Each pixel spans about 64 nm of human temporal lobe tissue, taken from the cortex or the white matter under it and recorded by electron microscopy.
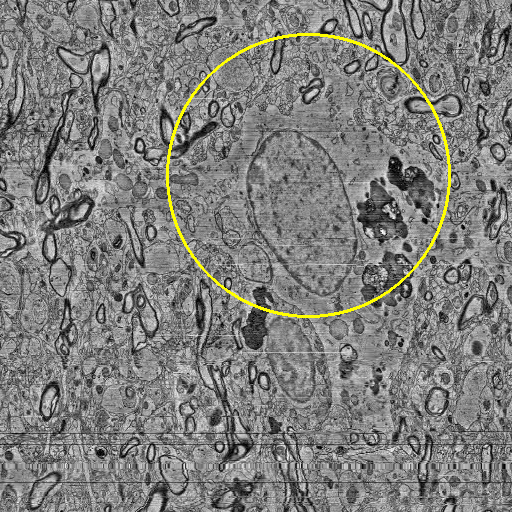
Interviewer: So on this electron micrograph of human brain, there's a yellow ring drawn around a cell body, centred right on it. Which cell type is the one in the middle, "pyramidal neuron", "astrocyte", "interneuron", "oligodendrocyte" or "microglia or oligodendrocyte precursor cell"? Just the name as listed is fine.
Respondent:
astrocyte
